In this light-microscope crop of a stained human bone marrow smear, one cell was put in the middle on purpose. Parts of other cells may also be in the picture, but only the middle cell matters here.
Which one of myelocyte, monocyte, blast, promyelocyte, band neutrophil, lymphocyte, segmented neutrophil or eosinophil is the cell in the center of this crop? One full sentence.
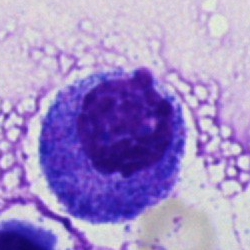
Framed in the middle of the crop is a promyelocyte.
